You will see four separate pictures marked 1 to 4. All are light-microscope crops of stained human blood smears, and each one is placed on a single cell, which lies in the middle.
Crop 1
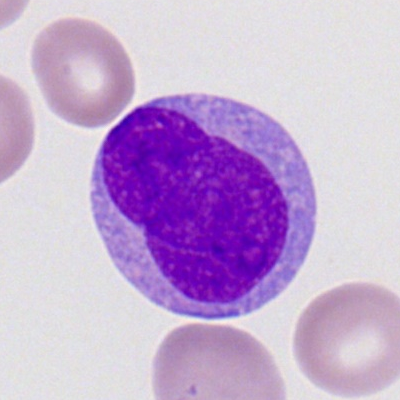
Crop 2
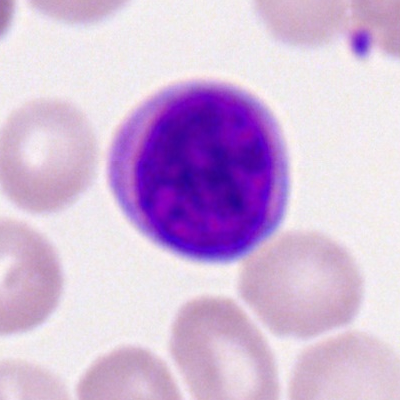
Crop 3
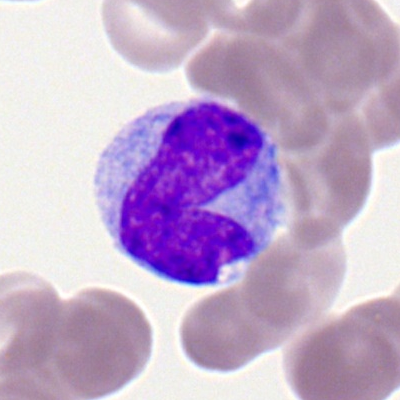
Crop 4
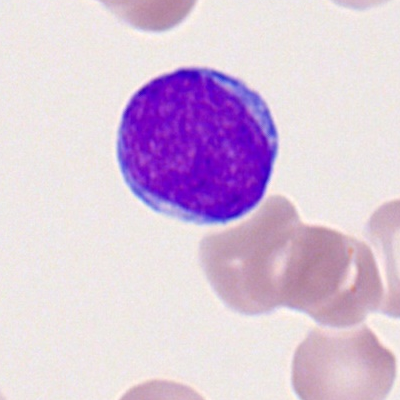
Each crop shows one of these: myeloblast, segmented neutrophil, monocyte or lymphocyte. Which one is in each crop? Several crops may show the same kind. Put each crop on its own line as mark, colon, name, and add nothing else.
1: myeloblast
2: lymphocyte
3: monocyte
4: myeloblast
